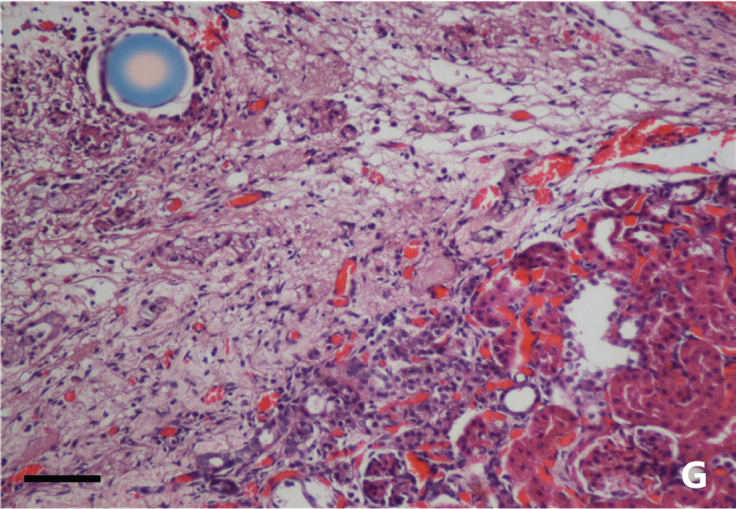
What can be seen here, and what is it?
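The lower right holds renal parenchyma: densely packed tubules lined by cells with pink cytoplasm and round purple nuclei, around small clear lumens. The upper left is loose, pale pink fibrillar tissue with many scattered nuclei and numerous small vessels filled with bright red erythrocytes. Near the upper left lies a round foreign body with a pale pink centre and a blue rim, ringed by densely packed cells. Along the border, cells and vessels crowd more densely than in the loose tissue above.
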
